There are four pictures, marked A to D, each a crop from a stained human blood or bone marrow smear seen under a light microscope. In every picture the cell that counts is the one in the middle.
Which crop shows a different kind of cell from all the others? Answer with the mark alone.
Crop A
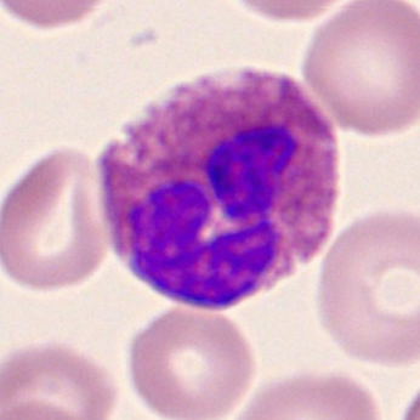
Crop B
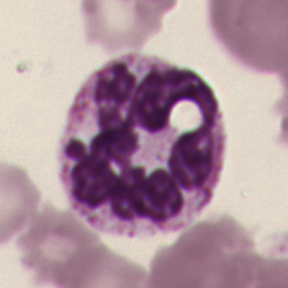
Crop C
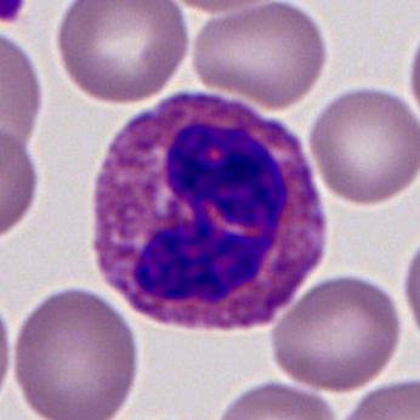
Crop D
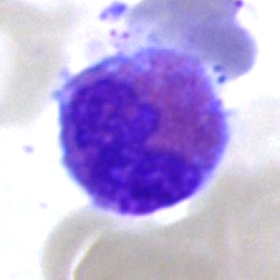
B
